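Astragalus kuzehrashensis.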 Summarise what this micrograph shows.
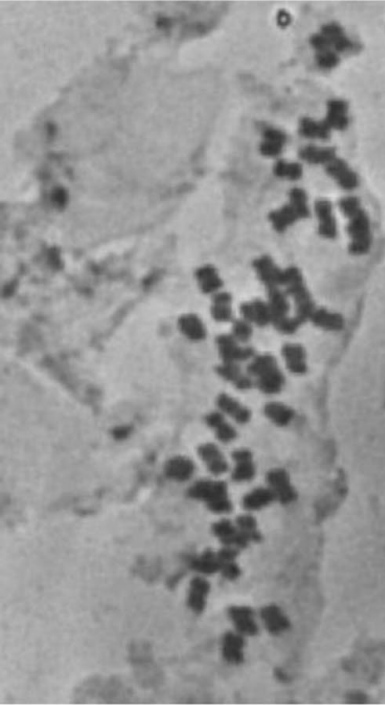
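Chromosome spread from a dividing plant cell, with many short, dark-stained, condensed chromosomes scattered as separate bodies over a pale grey background. Several chromosomes show paired sister chromatids, and no nuclear outline surrounds them. Fainter, blurred cells and debris lie around the spread.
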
